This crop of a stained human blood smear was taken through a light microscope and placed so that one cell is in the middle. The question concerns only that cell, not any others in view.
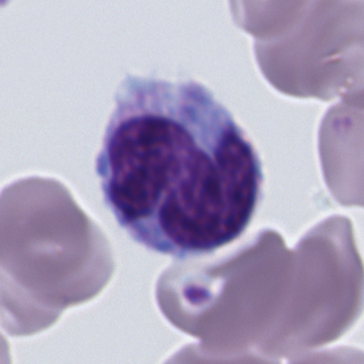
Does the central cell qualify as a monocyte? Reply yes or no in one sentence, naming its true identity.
Yes, the cell of interest in the middle is a monocyte.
